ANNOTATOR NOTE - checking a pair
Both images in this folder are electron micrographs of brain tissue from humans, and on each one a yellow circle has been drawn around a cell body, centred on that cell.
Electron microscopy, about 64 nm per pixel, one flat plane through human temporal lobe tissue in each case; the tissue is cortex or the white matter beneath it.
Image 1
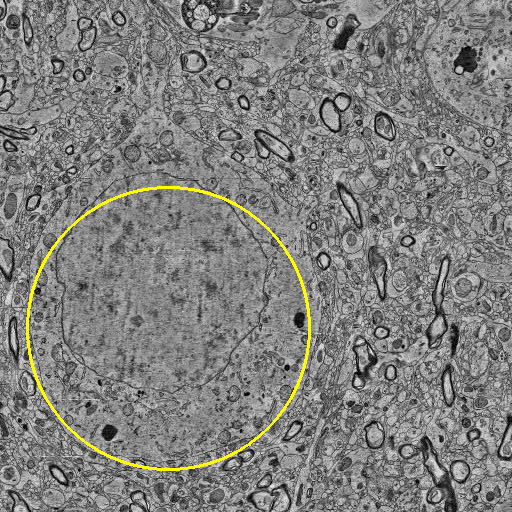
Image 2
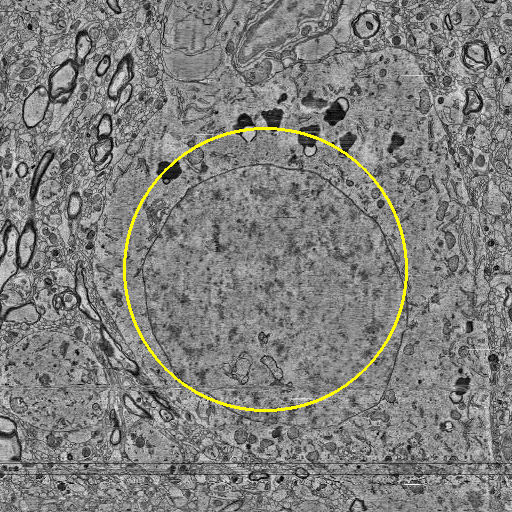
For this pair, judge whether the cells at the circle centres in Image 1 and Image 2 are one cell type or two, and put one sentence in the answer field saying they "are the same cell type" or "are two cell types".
For this pair, the cells at the circle centres in Images 1 and 2 are the same cell type.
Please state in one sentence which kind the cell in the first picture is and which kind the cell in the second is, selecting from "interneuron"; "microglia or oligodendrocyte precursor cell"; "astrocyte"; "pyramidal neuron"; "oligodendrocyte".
Each cell, in the first picture and the second, is a pyramidal neuron.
